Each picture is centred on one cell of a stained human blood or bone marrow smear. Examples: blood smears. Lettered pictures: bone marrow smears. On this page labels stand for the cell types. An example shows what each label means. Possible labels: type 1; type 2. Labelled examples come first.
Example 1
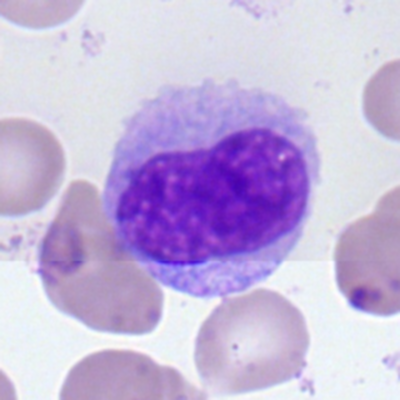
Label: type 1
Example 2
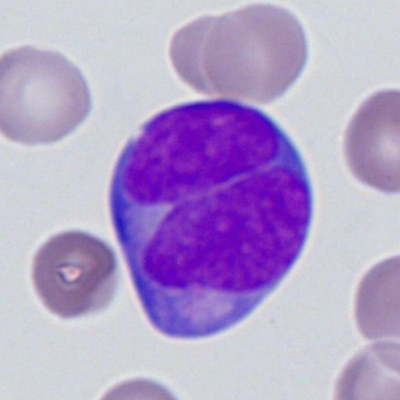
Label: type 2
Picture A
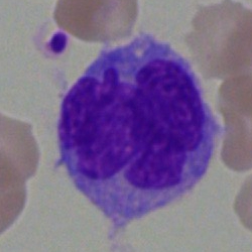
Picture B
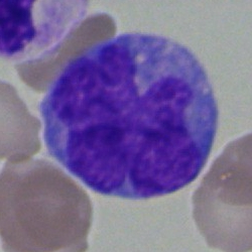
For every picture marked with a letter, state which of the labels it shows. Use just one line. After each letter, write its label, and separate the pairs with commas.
A type 1, B type 1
